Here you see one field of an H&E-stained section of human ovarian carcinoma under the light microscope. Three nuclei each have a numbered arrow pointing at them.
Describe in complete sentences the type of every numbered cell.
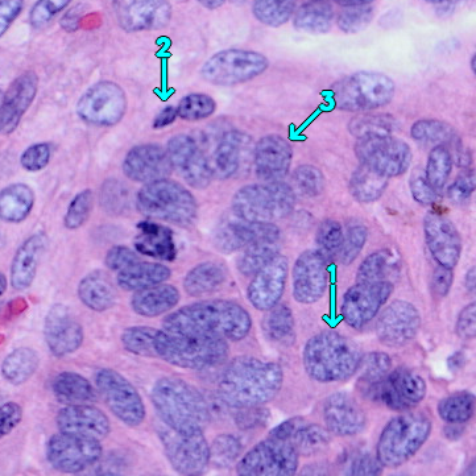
Cells 1 and 3 are carcinoma cells. Cell 2 is a lymphocyte.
